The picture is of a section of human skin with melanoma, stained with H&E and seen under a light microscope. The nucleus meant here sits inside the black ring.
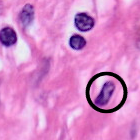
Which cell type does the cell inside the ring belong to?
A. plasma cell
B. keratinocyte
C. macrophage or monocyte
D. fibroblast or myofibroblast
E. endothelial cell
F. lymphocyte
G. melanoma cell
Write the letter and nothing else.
F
